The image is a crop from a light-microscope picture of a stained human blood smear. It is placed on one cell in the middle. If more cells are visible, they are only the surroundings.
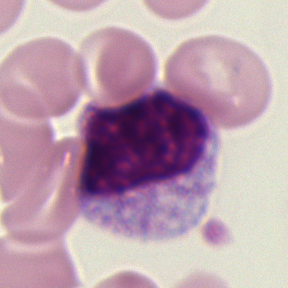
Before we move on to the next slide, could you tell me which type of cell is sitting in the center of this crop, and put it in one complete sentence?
Looking at the middle of the crop, the cell there is a metamyelocyte.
